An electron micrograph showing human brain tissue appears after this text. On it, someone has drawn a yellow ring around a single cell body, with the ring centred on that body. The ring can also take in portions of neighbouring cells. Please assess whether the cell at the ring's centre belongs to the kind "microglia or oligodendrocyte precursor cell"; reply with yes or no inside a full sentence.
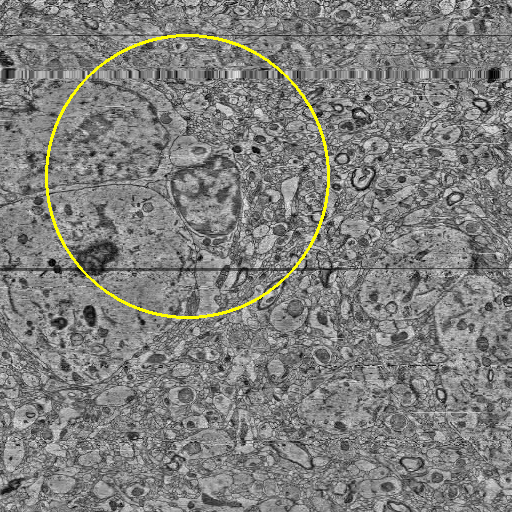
Yes, in this micrograph the cell at the centre of the ring is of that kind.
